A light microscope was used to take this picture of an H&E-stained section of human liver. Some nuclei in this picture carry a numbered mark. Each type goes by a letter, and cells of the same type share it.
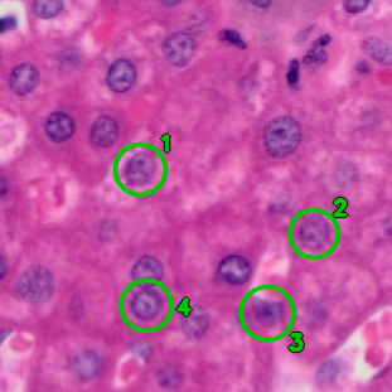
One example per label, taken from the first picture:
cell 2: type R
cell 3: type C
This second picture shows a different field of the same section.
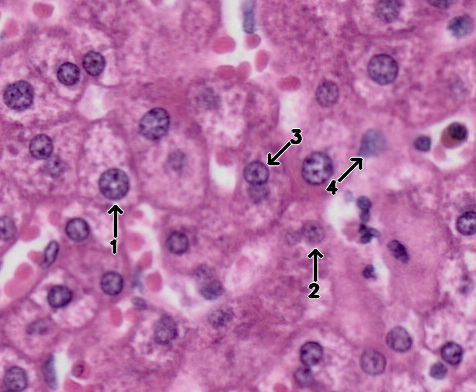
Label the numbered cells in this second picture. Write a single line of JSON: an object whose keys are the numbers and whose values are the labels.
{"1": "type R", "2": "type R", "3": "type R", "4": "type C"}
